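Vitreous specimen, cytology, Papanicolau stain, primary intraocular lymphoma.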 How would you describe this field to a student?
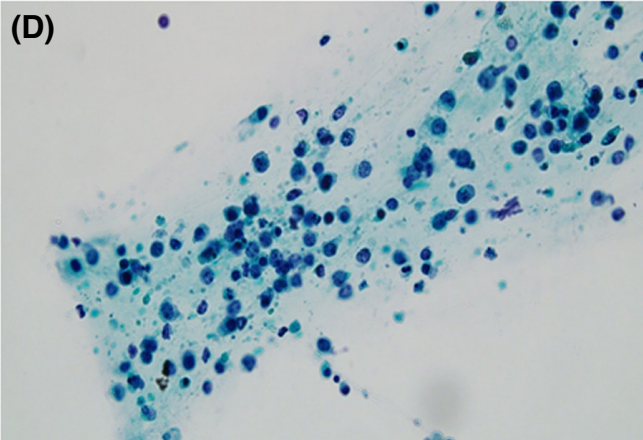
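The cells are discohesive and round, with large blue nuclei that vary in size and are irregular in some. Cytoplasm is scanty, a narrow rim at most around each nucleus. Occasional small dark cells and debris lie among them.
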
